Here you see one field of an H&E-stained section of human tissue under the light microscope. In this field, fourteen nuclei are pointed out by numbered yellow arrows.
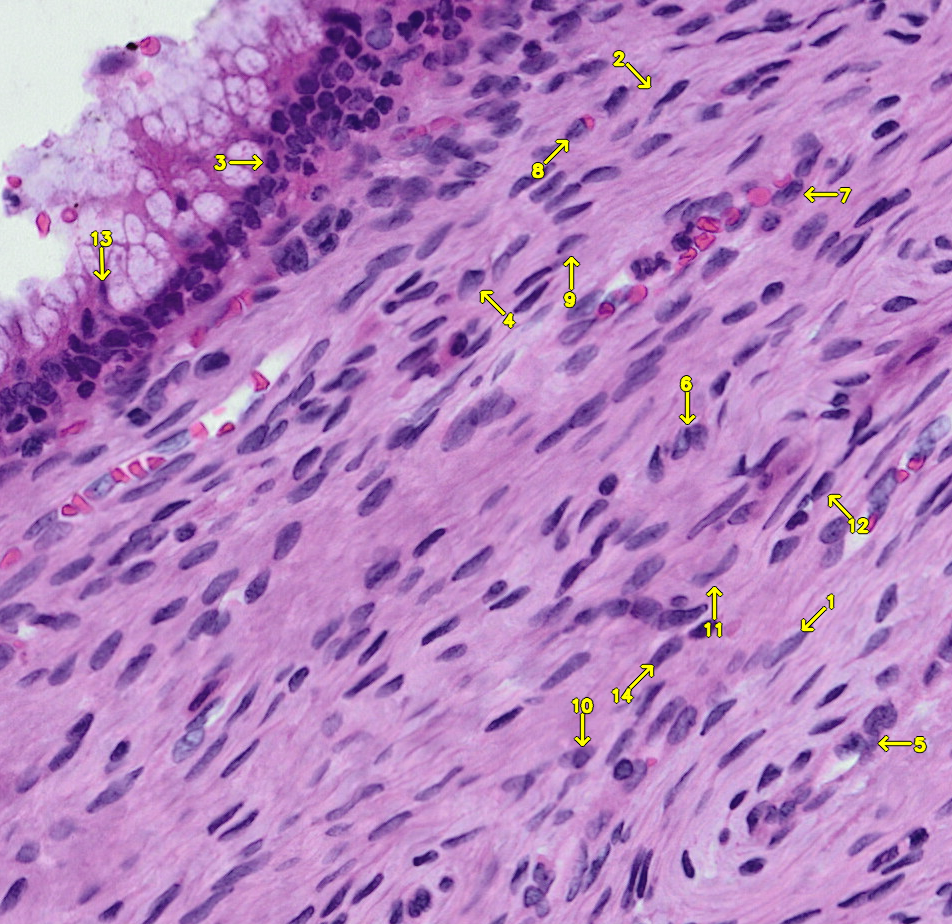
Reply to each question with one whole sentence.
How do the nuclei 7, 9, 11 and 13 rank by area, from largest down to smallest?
From largest to smallest, the order is 11, 7, 9, 13.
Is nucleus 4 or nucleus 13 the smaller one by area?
The smaller nucleus is 13, and 4 covers roughly 2 times its area.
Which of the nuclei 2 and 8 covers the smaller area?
Nucleus 8 covers less area, with nucleus 2 about 1.5 times as large.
